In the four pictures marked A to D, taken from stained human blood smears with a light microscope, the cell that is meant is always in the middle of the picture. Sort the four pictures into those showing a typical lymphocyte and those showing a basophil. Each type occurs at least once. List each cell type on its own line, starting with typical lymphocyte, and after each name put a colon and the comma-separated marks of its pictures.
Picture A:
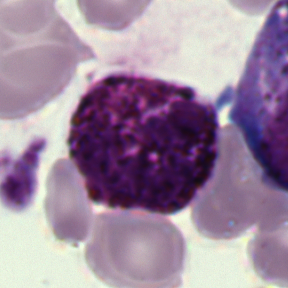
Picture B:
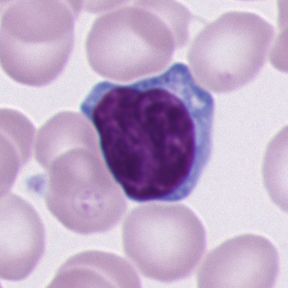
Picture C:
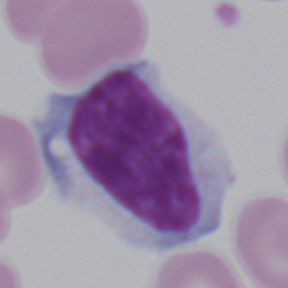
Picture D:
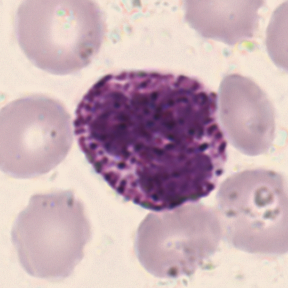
typical lymphocyte: B, C
basophil: A, D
